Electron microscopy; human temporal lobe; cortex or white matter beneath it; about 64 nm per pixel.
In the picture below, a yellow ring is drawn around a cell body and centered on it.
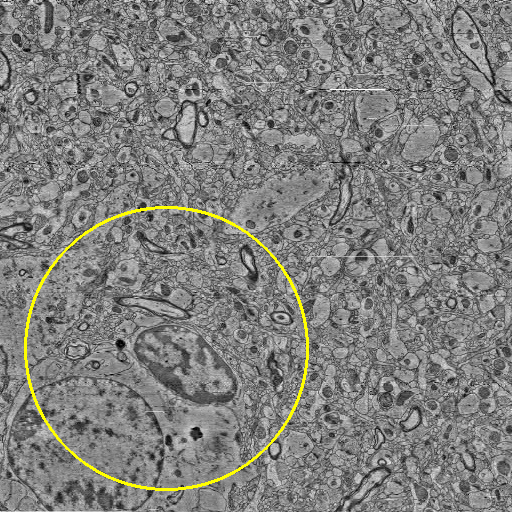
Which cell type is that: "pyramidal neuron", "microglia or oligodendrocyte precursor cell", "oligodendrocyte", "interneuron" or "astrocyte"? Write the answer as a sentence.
The cell centered in the ring is a microglial cell or oligodendrocyte precursor cell.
